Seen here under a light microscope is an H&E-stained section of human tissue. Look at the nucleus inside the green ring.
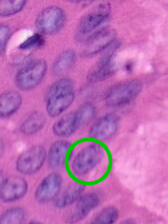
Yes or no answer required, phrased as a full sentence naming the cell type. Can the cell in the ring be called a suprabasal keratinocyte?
No, the cell in the ring is a basal keratinocyte and should not be read as a suprabasal keratinocyte.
